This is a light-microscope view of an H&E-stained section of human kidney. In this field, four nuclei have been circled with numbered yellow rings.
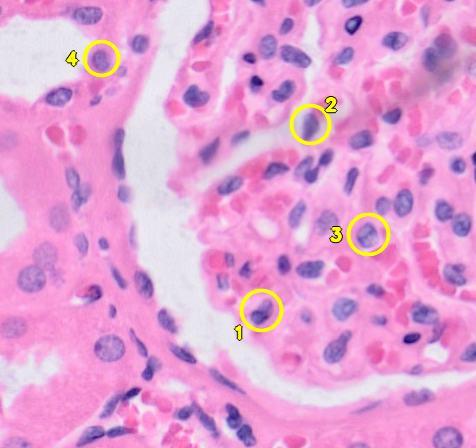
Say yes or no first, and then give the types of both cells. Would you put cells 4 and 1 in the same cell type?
No, cell 4 is a loop of Henle or distal tubule cell and cell 1 is an endothelial cell.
